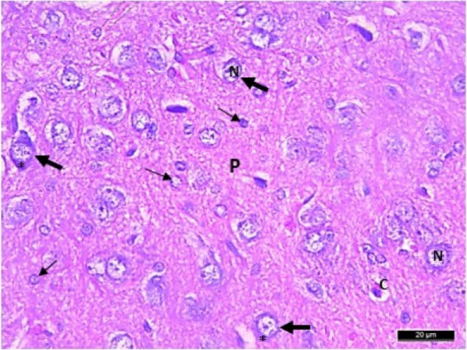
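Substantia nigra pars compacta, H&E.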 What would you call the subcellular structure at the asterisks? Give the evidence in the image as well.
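Basophilic cytoplasm. Purplish cytoplasm surrounding a pale nucleus in a large cell body.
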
